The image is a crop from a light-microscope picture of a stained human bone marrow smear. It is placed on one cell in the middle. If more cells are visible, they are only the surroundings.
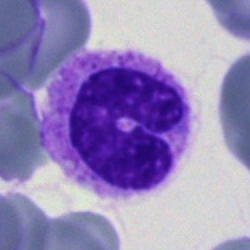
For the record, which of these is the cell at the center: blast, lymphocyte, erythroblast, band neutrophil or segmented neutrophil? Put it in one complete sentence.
Within this crop, a band neutrophil occupies the central position.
